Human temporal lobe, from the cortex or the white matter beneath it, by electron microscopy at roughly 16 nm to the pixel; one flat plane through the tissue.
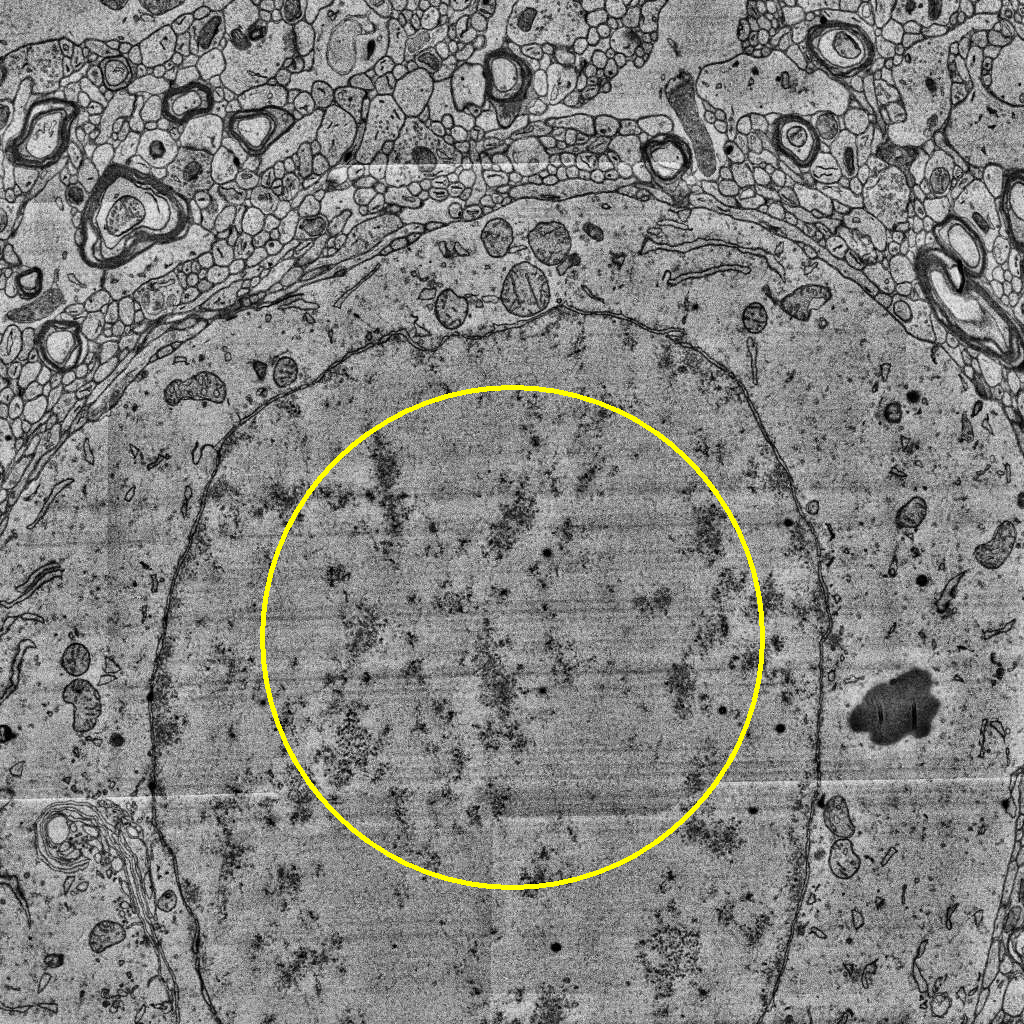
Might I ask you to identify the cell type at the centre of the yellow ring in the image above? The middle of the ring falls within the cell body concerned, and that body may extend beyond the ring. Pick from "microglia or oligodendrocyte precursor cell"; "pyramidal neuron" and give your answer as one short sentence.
The centre of the ring falls on a pyramidal neuron.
